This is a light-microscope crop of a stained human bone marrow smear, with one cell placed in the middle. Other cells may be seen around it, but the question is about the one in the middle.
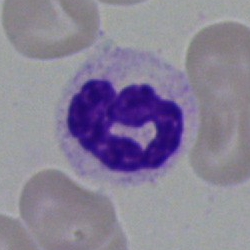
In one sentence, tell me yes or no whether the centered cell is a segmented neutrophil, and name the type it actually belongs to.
Yes, the one cell at the centre is a segmented neutrophil.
